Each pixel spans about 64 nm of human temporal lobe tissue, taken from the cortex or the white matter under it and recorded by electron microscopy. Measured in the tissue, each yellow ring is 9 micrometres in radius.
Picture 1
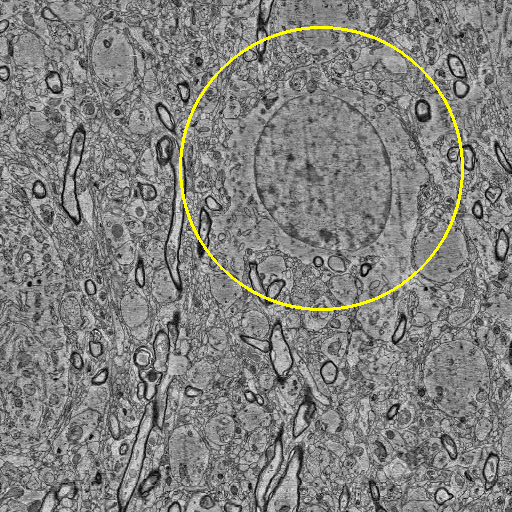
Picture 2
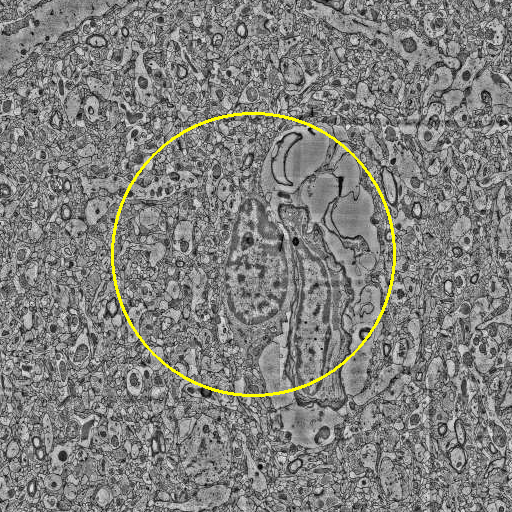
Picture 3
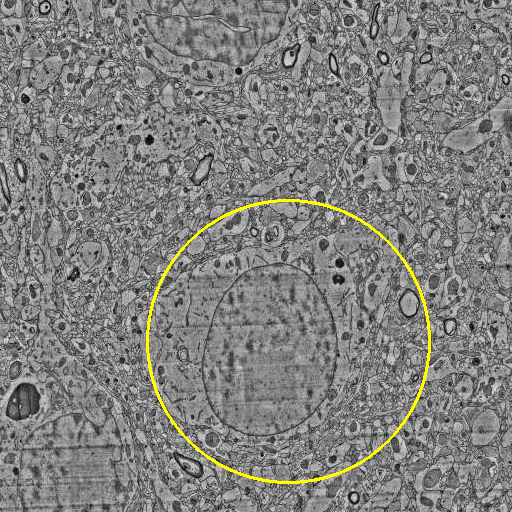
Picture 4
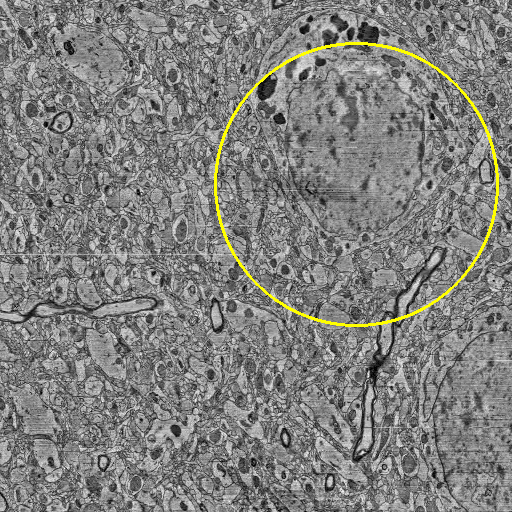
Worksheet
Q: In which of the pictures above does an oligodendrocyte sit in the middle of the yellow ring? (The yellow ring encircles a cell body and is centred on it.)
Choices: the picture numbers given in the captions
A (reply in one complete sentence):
In picture 2, the cell sitting at the centre of the ring is the match.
